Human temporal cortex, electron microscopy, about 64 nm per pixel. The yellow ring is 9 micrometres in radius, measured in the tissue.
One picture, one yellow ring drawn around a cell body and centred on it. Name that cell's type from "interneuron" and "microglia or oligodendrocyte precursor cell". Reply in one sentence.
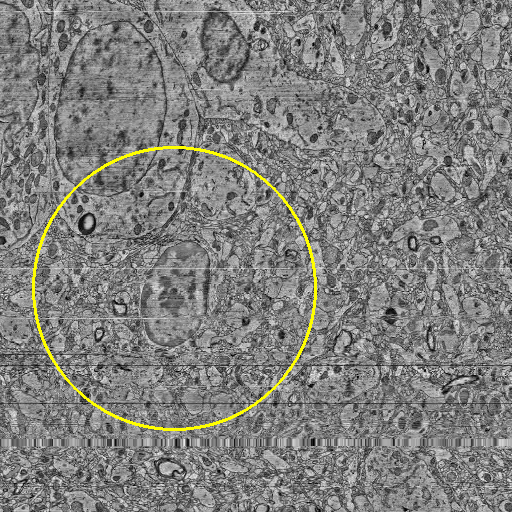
Centred in the ring is a microglial cell or oligodendrocyte precursor cell.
